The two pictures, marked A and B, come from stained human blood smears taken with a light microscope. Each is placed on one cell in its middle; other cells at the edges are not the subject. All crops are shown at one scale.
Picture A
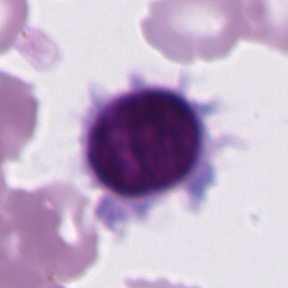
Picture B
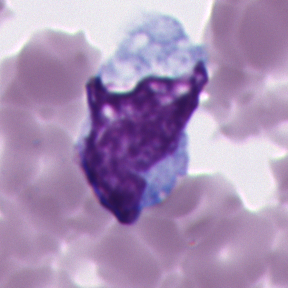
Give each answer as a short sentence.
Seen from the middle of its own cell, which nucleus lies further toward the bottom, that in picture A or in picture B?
Seen within its cell, the nucleus in picture B lies further toward the bottom.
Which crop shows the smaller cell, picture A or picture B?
It is the cell in picture A; the cell in picture B has about 1.5 times its area.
